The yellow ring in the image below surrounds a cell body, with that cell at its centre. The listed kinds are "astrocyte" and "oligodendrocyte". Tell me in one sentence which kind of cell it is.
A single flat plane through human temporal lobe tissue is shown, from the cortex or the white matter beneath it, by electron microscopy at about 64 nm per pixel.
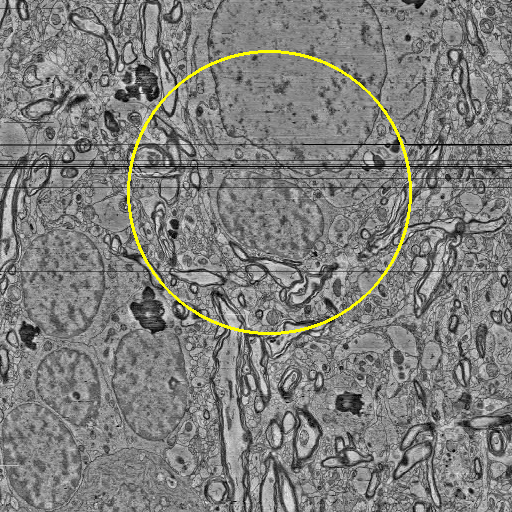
The centre of the ring holds an oligodendrocyte.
